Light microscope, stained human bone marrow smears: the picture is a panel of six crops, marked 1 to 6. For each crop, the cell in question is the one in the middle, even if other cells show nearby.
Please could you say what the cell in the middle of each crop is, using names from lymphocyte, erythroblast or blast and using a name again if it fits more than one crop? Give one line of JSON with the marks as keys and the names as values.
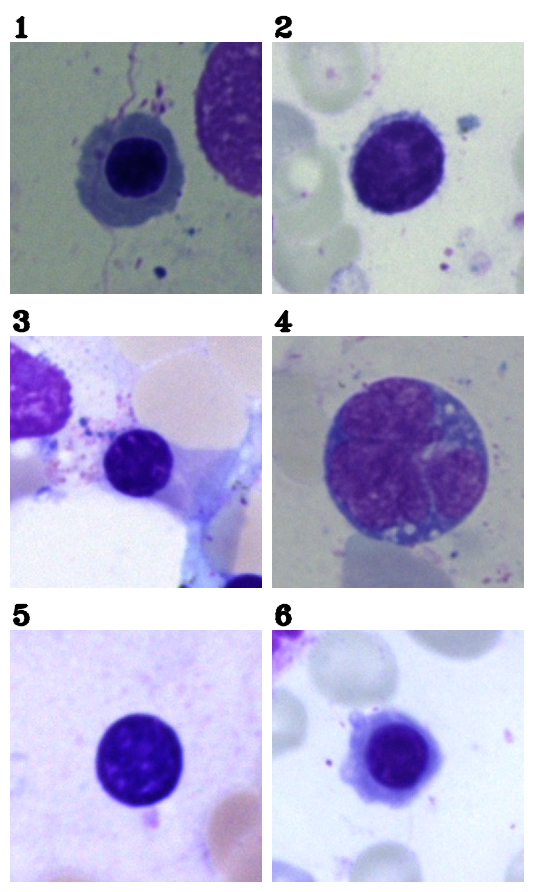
{"1": "erythroblast", "2": "lymphocyte", "3": "erythroblast", "4": "blast", "5": "lymphocyte", "6": "erythroblast"}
